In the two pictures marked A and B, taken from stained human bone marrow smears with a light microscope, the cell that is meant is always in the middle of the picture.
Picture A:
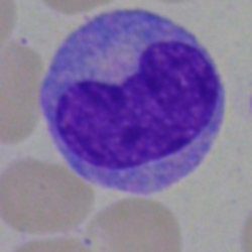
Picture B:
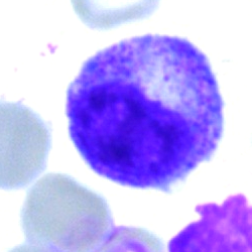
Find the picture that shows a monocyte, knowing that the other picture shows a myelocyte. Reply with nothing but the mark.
A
